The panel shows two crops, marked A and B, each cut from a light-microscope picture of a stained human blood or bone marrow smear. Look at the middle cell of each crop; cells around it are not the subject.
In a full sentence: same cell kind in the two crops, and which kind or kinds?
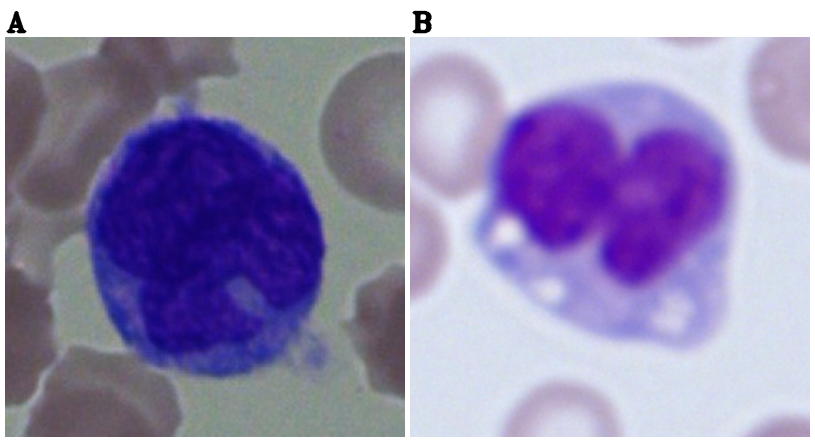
Yes, monocytes are seen in both crops.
